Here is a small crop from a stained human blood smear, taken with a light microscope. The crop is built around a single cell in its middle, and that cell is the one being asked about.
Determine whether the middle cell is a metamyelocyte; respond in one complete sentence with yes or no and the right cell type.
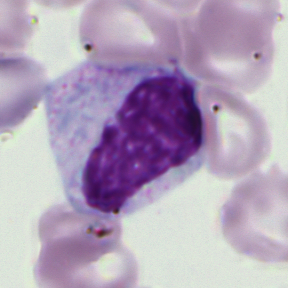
Yes, the centred cell is categorised as a metamyelocyte.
